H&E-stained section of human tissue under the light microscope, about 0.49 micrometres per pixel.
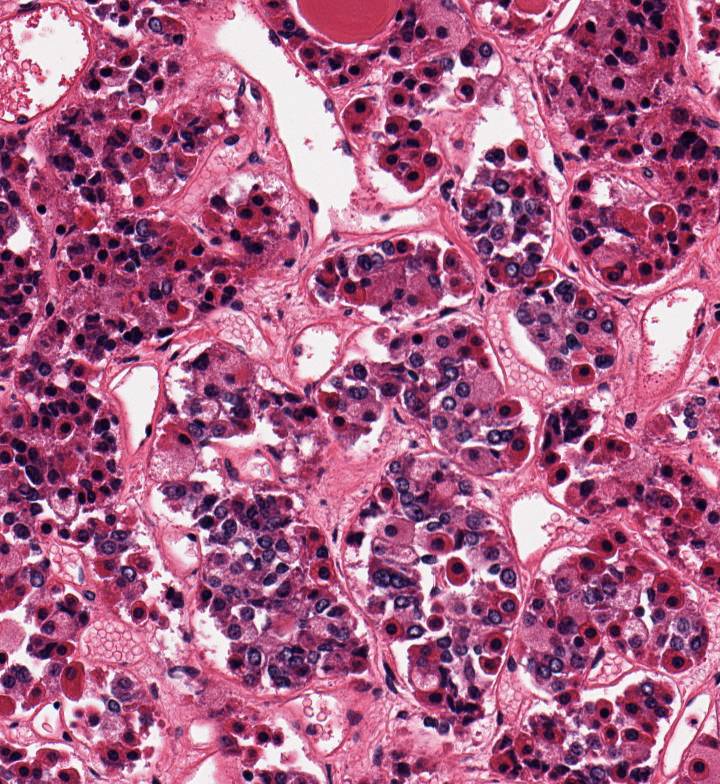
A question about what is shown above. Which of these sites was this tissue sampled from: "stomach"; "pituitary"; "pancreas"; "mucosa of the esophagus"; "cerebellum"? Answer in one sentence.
The site this tissue was sampled from is the pituitary.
